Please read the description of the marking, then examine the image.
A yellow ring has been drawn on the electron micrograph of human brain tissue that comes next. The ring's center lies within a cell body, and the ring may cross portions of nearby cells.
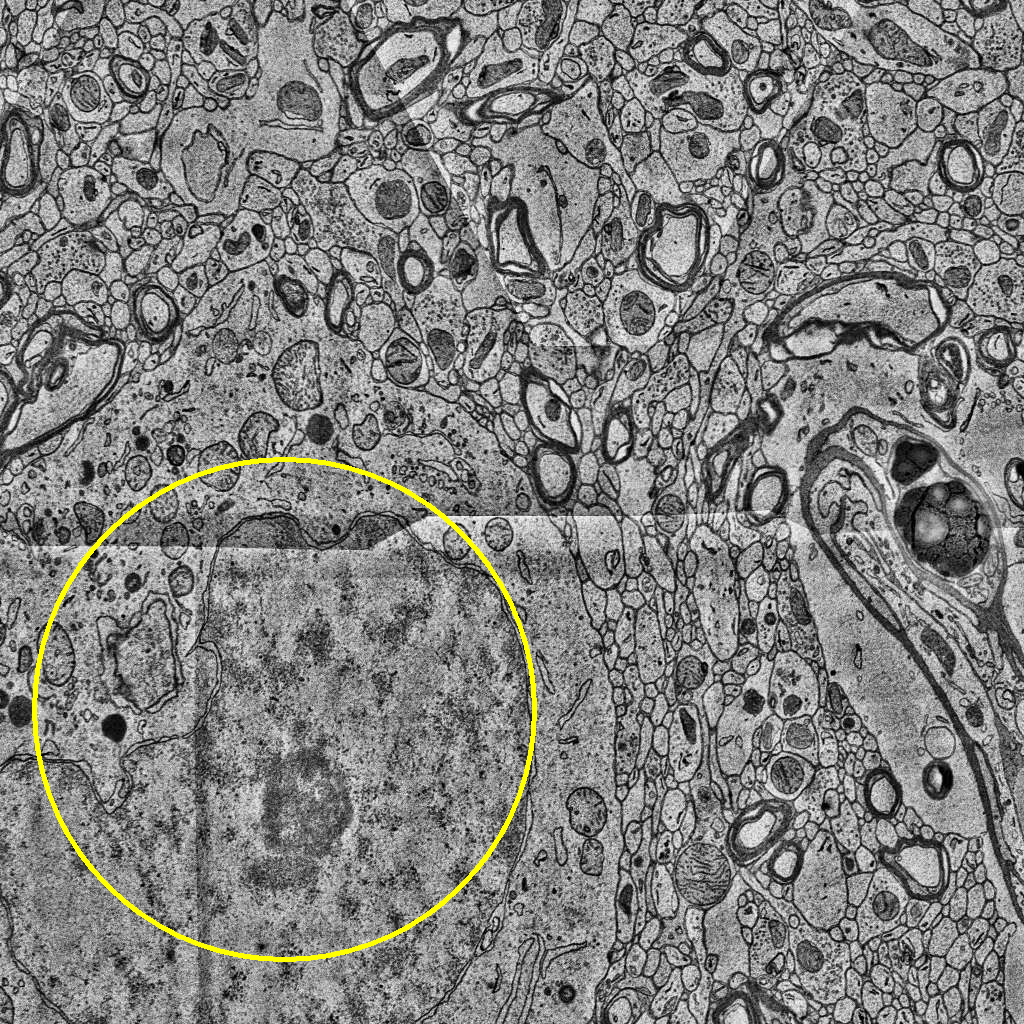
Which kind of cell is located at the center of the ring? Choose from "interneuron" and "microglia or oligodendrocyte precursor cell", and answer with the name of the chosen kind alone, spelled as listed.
interneuron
